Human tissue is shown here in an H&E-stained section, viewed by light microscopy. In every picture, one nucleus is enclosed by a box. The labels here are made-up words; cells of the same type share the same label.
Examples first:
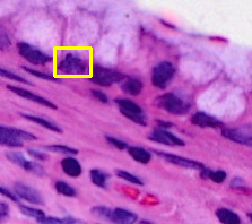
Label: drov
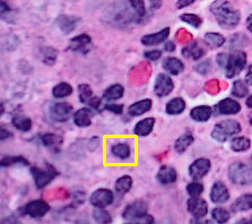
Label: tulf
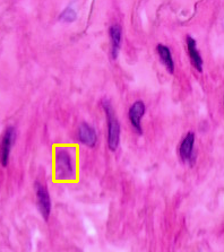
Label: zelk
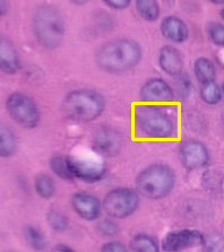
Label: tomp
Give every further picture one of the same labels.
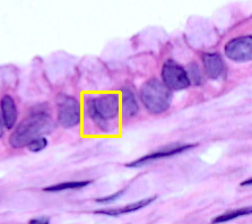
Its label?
drov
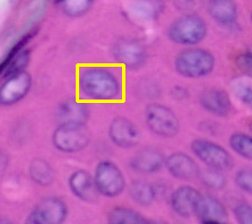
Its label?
tomp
